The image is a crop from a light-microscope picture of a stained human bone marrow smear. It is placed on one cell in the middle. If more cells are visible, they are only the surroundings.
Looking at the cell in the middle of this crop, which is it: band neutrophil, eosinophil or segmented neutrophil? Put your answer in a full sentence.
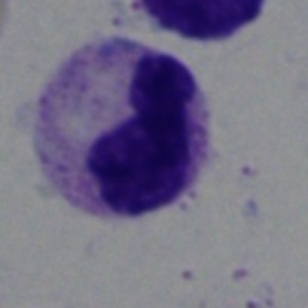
The centrally placed cell is classified as a band neutrophil.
